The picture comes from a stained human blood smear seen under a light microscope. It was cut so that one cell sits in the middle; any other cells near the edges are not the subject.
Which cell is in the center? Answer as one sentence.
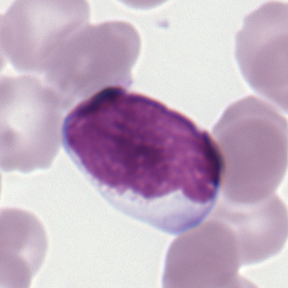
Located at the centre of the crop is a large granular lymphocyte.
